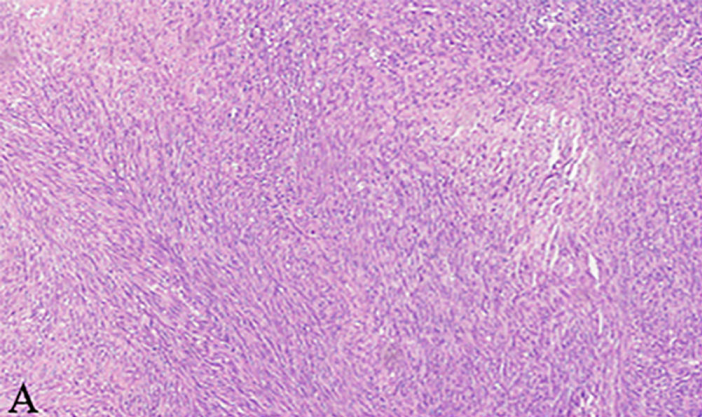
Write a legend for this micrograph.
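This low-power view of a mass shows a cellular proliferation of spindle cells admixed with inflammatory cells. The elongated pink-purple spindle cells are arranged in long, sweeping and intersecting fascicles. Between them, especially in the upper part of the field, are denser zones of small cells with dark round nuclei. A paler, less cellular pink area lies toward the right side.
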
